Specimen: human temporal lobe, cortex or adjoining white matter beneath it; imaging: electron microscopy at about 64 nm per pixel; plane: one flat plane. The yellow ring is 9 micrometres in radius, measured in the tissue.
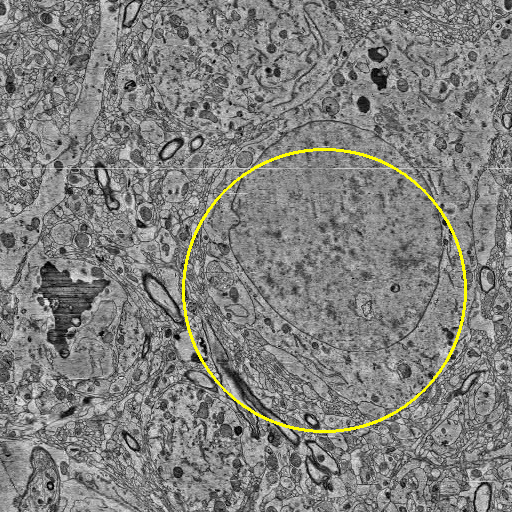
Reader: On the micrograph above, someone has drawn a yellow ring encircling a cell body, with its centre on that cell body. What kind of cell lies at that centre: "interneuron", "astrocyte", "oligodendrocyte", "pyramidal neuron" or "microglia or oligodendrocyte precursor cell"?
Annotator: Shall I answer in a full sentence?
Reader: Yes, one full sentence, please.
Here a pyramidal neuron sits at the centre of the yellow ring drawn on the micrograph.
